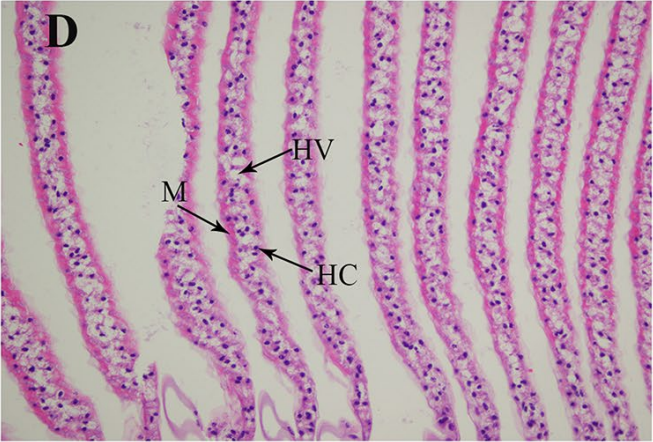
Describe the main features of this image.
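Section of gills showing parallel, gently curving lamellae separated by wide clear spaces. Some lamellae appear slightly wavy in outline.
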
